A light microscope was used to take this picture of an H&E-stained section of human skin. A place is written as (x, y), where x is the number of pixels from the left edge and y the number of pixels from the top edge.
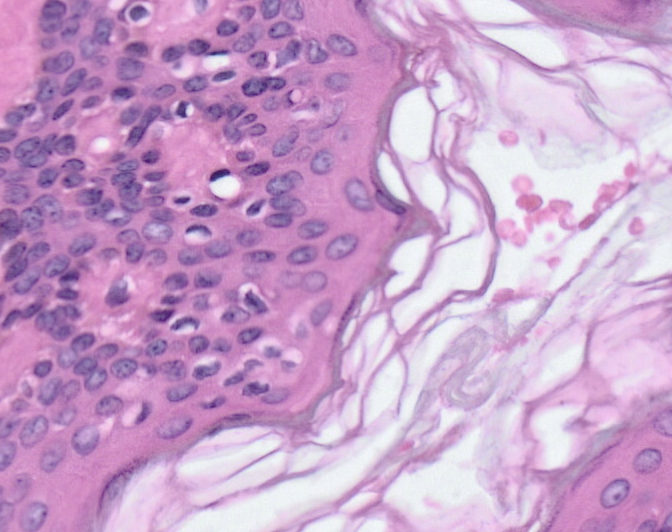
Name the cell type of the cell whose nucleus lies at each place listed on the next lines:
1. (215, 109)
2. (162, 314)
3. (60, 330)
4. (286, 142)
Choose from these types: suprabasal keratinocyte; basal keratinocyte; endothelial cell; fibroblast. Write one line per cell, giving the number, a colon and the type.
1: basal keratinocyte
2: basal keratinocyte
3: basal keratinocyte
4: suprabasal keratinocyte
